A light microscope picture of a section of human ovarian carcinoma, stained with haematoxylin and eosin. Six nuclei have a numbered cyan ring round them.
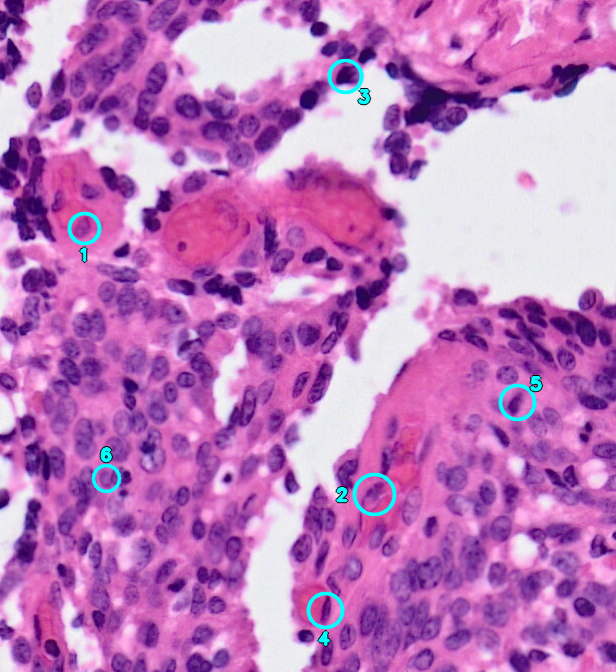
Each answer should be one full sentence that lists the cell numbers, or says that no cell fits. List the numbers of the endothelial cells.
The cells that bear the numbers 1, 2 and 4 are endothelial cells.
